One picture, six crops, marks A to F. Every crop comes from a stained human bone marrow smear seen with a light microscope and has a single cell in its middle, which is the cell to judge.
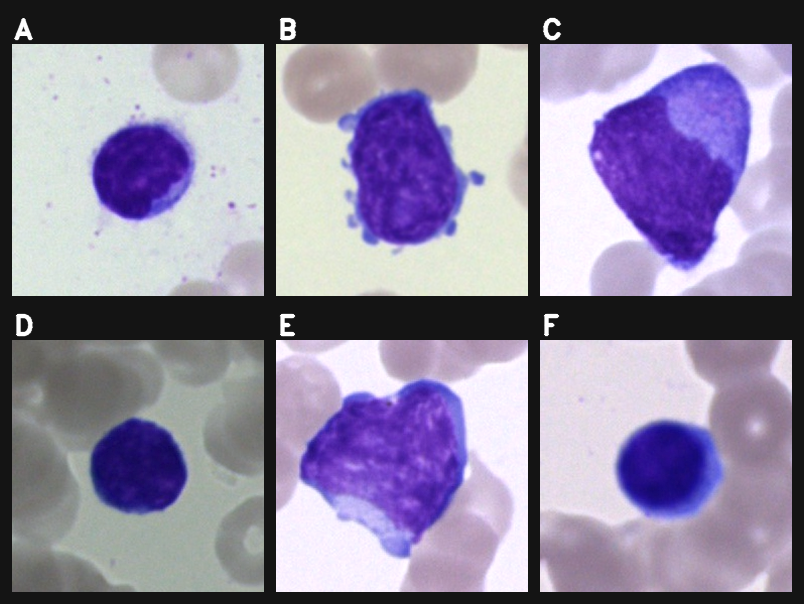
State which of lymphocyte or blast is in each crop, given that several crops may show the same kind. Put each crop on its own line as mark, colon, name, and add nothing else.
A: lymphocyte
B: blast
C: blast
D: lymphocyte
E: blast
F: lymphocyte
